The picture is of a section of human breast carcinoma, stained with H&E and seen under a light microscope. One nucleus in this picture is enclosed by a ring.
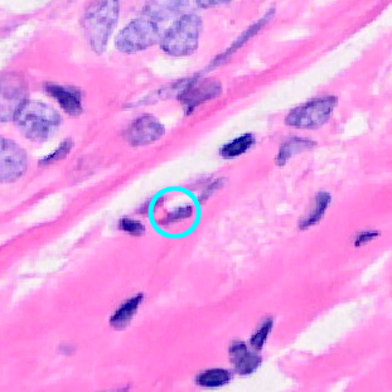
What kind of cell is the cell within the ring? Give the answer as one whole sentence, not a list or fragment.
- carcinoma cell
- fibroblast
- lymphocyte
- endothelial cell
It is as an endothelial cell that the cell within the ring is classified.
